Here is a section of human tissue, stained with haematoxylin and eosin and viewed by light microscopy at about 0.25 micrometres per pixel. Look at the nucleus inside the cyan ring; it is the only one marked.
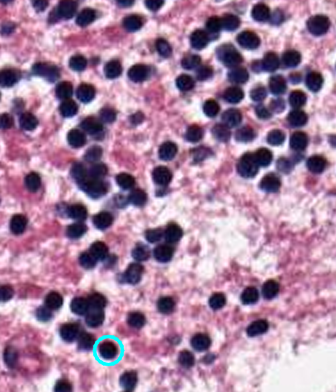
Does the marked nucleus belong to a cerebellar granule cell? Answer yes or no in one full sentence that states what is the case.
Yes, the marked nucleus, as shown, belongs to a cerebellar granule cell.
